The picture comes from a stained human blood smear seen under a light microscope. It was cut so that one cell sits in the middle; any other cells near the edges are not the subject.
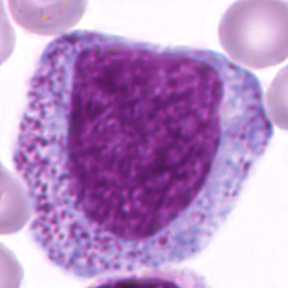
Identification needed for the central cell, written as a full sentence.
The crop centres on a single cell, and that cell is a promyelocyte.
